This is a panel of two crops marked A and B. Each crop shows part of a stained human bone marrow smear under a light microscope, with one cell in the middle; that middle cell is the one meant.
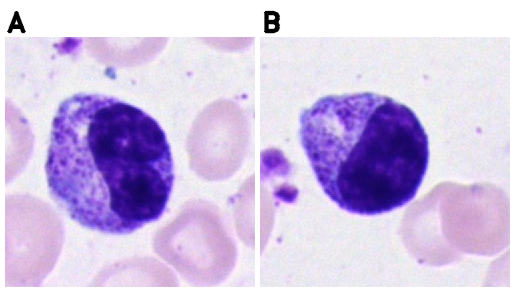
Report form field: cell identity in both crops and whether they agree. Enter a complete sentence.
Yes, both crops here show metamyelocytes, the pair of them.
